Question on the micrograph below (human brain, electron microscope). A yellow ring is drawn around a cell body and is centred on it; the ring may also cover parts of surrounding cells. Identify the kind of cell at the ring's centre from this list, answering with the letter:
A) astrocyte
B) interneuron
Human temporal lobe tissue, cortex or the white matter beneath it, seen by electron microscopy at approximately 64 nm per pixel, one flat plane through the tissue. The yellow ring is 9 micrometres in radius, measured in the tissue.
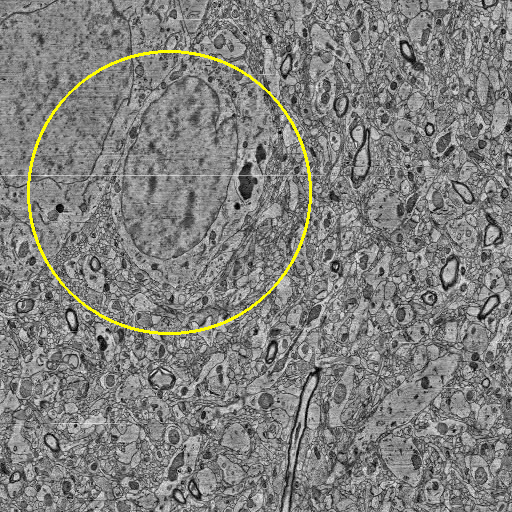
B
